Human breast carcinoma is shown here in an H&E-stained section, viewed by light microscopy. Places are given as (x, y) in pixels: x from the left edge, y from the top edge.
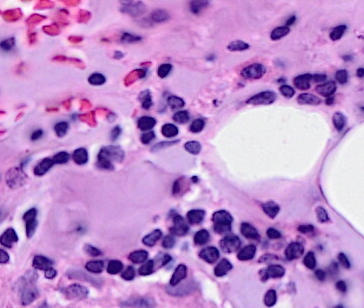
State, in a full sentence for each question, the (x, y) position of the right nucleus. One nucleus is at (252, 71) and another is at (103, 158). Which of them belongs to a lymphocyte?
The member of the pair belonging to a lymphocyte is the nucleus at (103, 158).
